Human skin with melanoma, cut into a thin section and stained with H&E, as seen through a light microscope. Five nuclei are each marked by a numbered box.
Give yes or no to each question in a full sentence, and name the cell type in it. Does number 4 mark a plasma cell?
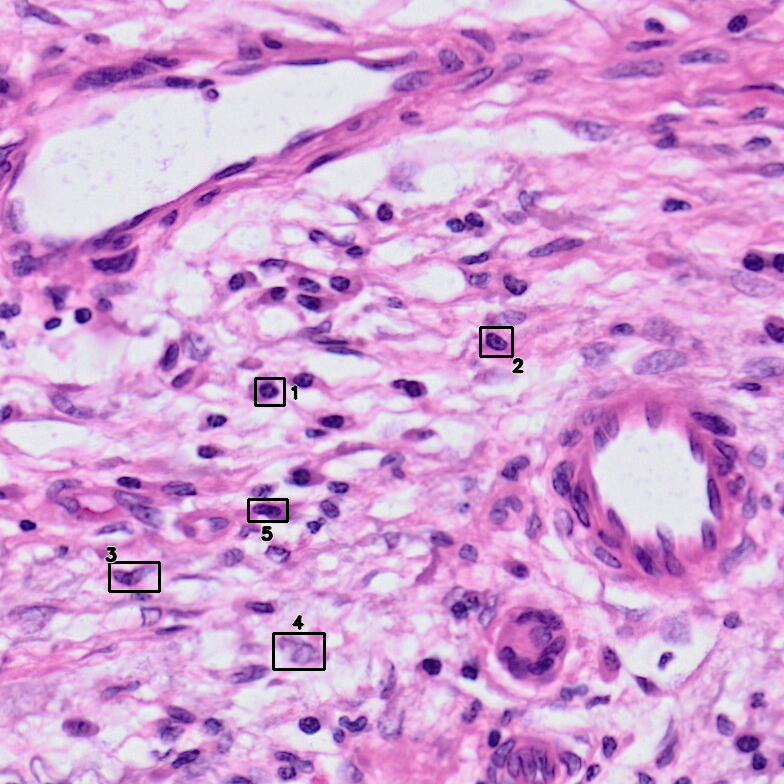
No, instead of a plasma cell, the cell with number 4 is a fibroblast or myofibroblast.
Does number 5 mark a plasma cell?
Yes, on this slide, the cell with number 5 is a plasma cell.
